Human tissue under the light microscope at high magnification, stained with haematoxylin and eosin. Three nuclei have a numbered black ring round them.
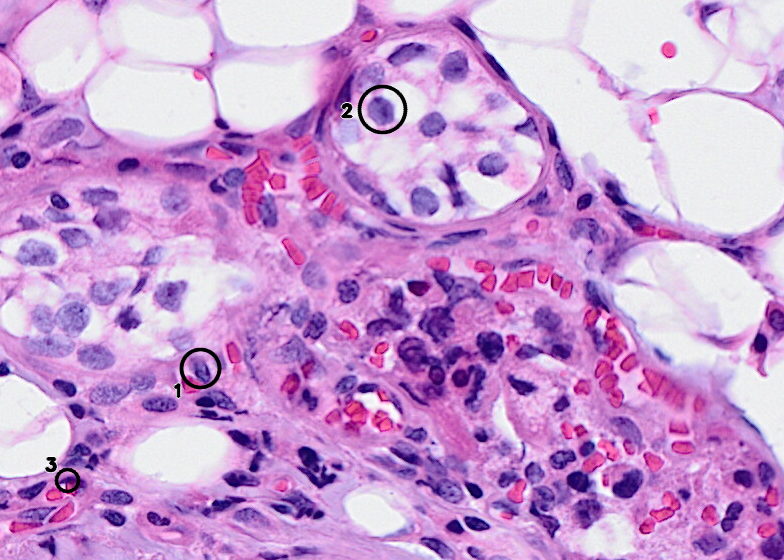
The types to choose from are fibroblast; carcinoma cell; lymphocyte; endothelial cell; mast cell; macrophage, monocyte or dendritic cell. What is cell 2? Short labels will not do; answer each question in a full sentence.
Cell 2 in the field is a carcinoma cell.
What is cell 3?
The marked cell bearing number 3 is an endothelial cell.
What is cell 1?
Of the numbered cells, the one labelled 1 is an endothelial cell.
